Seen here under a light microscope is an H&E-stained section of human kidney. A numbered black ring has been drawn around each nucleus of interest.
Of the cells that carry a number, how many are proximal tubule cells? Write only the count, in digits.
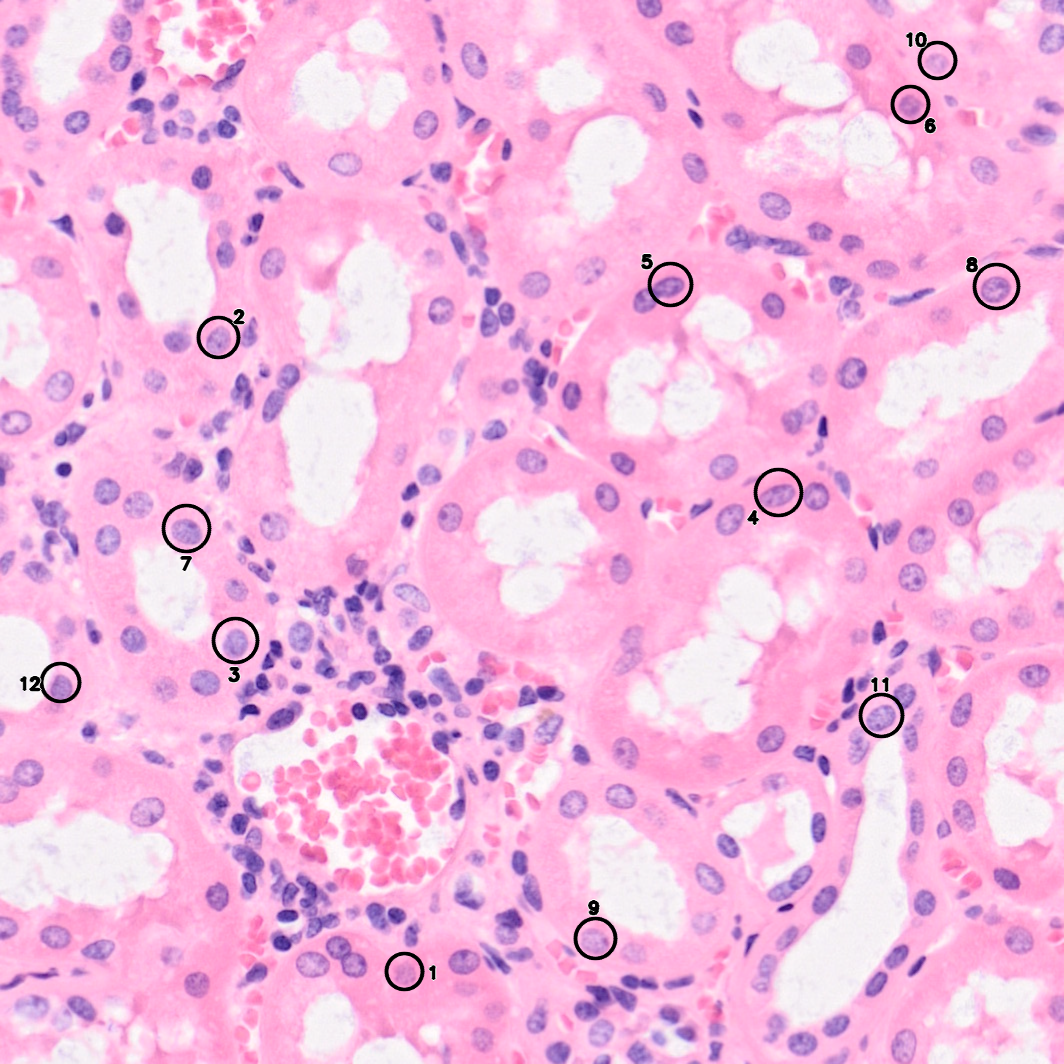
7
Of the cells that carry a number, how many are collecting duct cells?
1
